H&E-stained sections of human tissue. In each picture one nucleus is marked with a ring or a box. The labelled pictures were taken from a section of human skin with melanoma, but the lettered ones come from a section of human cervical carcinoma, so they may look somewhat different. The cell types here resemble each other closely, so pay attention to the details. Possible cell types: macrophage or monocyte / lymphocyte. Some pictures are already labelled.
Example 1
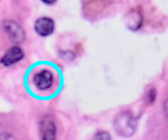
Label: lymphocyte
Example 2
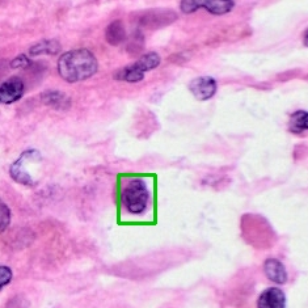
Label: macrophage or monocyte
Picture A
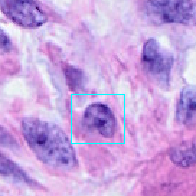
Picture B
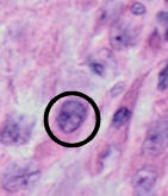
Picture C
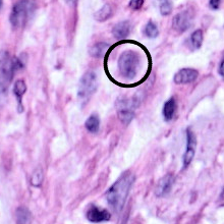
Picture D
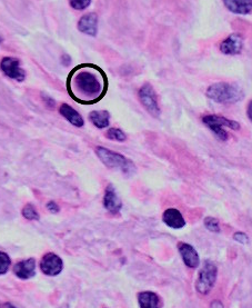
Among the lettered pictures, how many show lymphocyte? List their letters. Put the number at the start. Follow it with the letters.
Count: 1 (D)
